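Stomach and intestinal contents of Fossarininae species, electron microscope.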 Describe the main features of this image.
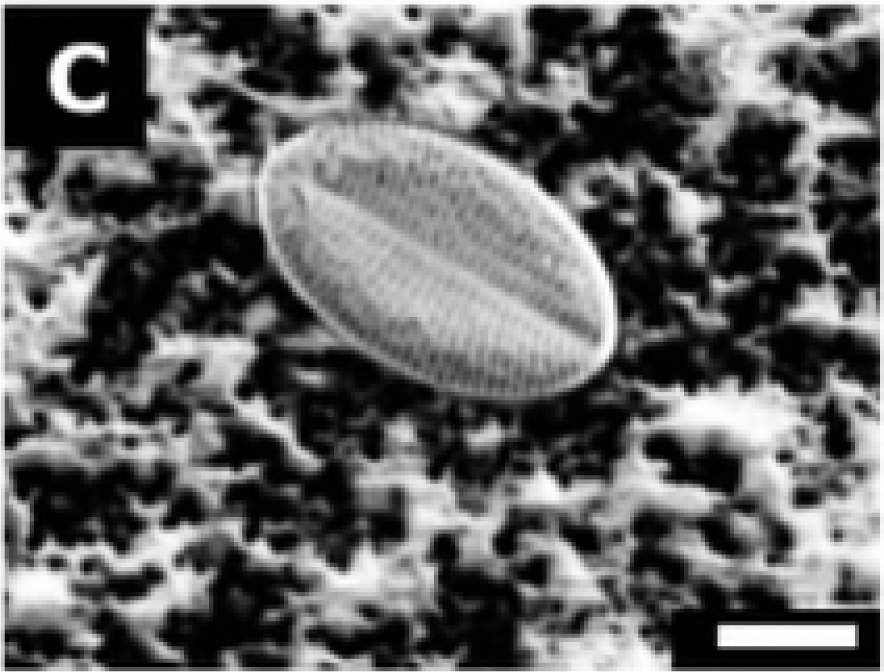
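Pennate diatom lying on a porous substrate, seen in valve view. The valve is elliptical with smoothly rounded ends. A straight central line runs along the long axis. Fine, closely set parallel rows of striae run from this line out to the margin on both sides. The rim of the valve is smooth and slightly raised.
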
